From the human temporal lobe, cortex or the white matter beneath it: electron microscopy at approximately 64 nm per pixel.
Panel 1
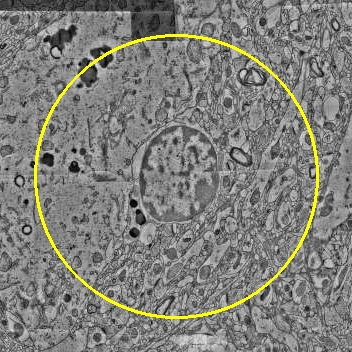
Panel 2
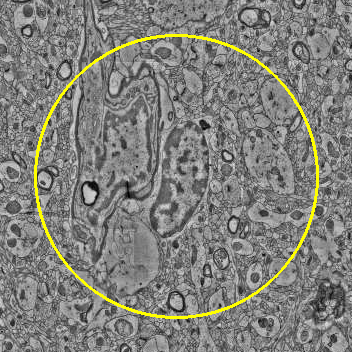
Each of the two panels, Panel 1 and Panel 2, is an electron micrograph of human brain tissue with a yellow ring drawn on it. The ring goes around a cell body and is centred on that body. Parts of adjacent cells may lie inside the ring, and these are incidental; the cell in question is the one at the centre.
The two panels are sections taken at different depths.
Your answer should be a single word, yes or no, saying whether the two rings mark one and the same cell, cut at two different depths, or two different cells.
no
